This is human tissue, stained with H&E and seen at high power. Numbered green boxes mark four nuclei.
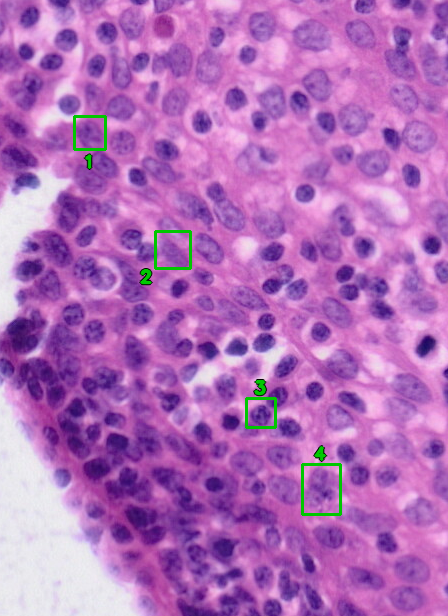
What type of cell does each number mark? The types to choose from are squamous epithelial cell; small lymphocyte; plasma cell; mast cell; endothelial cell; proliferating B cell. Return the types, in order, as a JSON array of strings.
["squamous epithelial cell", "squamous epithelial cell", "plasma cell", "squamous epithelial cell"]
